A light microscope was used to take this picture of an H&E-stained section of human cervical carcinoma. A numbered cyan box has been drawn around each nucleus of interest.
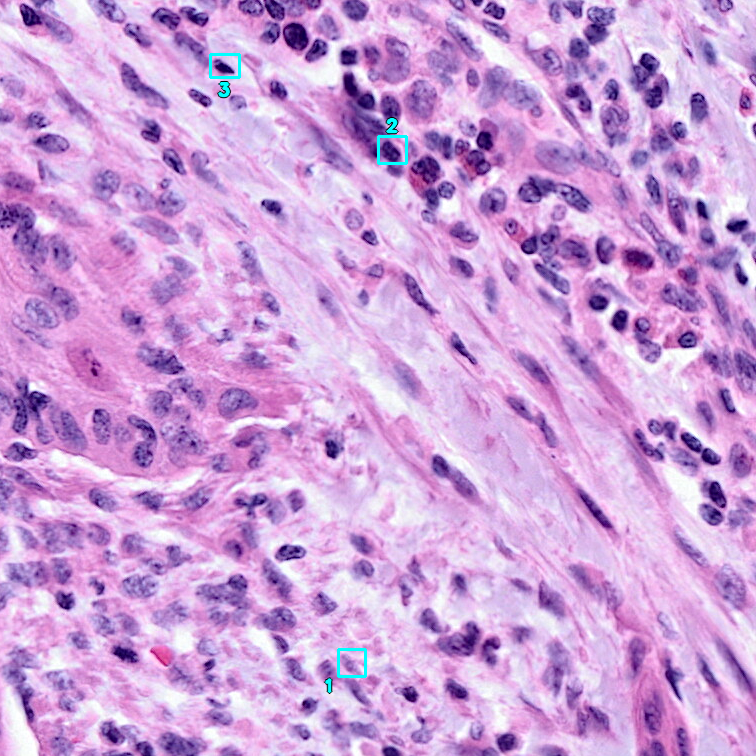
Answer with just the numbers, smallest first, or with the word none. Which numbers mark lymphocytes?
2, 3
